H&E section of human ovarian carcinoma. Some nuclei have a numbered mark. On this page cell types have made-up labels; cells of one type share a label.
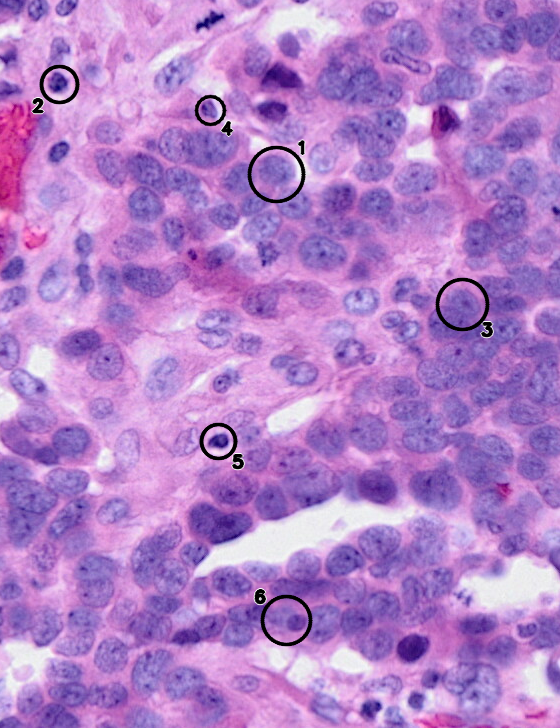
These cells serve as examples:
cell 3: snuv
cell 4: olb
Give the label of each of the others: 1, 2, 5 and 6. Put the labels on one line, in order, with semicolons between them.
snuv; olb; olb; snuv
